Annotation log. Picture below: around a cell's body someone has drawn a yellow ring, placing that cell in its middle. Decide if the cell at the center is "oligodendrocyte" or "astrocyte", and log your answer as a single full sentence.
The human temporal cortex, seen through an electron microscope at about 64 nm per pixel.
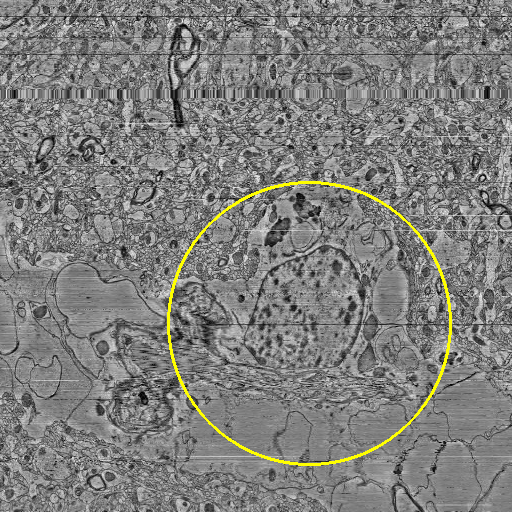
My entry records an astrocyte as the cell sitting at the center of the yellow ring.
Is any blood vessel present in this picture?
Yes, there is a blood vessel.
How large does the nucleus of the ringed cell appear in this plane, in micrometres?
The ringed cell's nucleus is about 8 micrometres long and 7 micrometres wide in this plane.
